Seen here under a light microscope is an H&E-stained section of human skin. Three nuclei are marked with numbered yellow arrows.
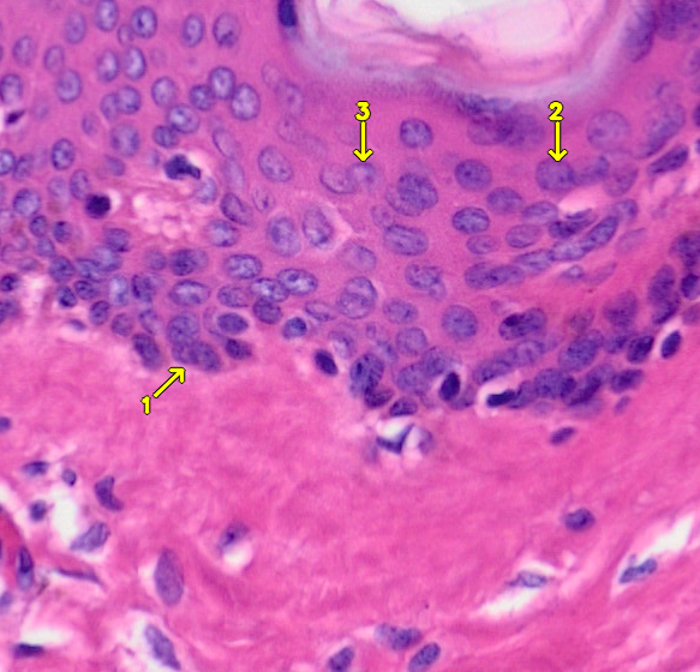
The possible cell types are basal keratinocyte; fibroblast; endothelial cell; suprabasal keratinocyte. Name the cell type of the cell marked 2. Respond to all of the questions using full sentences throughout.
What the number 2 marks in this field is a suprabasal keratinocyte.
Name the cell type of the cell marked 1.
The cell whose nucleus carries the number 1 is a basal keratinocyte.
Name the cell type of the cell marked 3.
Cell 3 in the field of view is a suprabasal keratinocyte.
